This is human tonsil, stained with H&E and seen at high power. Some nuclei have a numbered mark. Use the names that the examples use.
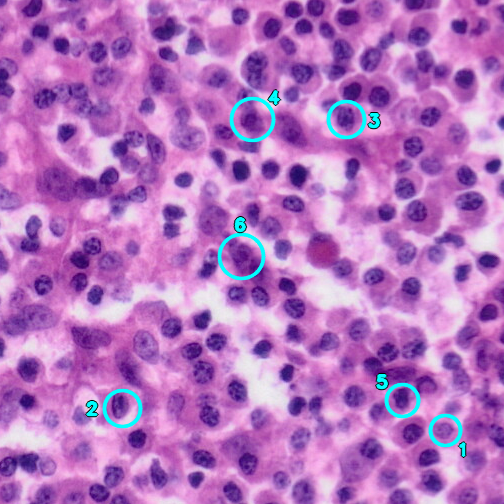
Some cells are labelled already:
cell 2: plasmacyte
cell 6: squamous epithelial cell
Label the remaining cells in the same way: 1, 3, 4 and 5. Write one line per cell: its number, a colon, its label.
1: plasmacyte
3: plasmacyte
4: squamous epithelial cell
5: plasmacyte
